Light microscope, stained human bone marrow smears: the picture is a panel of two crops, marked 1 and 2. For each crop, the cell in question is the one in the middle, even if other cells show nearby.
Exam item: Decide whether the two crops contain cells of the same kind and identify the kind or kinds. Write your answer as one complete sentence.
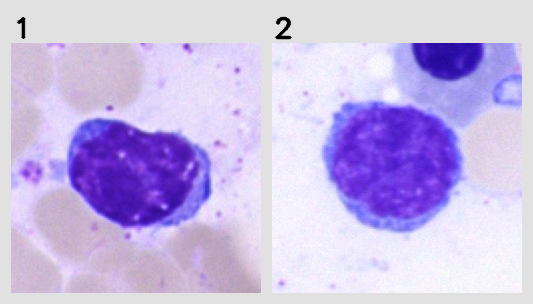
Yes, the two crops share the same answer, lymphocytes.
